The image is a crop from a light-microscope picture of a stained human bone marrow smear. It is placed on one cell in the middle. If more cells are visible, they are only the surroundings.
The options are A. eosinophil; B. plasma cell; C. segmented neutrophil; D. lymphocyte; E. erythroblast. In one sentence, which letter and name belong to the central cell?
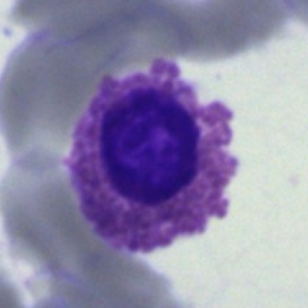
Of the options given, A is correct, the central cell being an eosinophil.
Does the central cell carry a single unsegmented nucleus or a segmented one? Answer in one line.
What stands out is a nucleus forming one compact round, oval or kidney-shaped mass.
